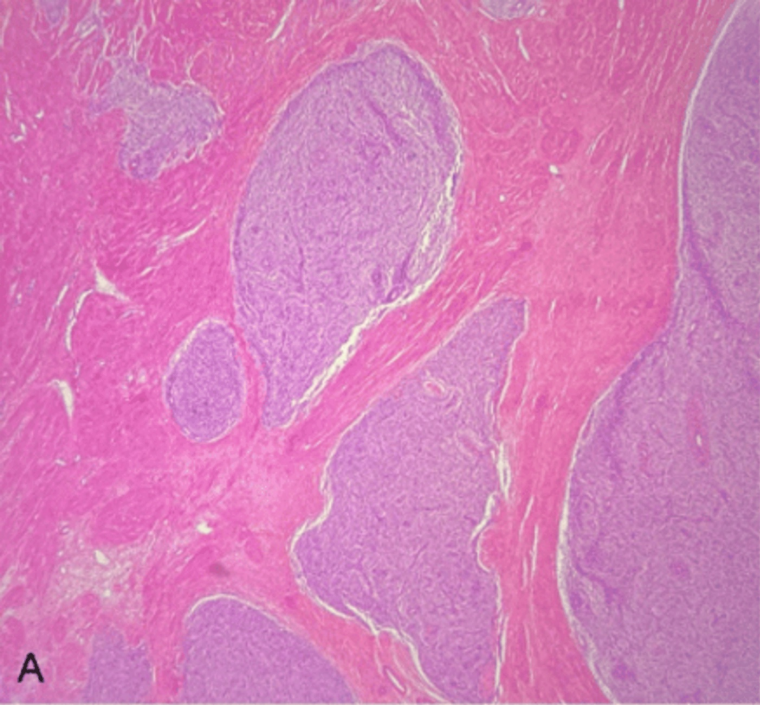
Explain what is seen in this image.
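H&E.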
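At low magnification, purple-staining tumor forms rounded and tongue-like islands set within dense pink fibromuscular wall tissue. Some islands are large and merge into sheets, while others are small and separate. The islands are uniformly cellular and contain no glands. Narrow clear clefts often separate the islands from the surrounding pink tissue.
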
